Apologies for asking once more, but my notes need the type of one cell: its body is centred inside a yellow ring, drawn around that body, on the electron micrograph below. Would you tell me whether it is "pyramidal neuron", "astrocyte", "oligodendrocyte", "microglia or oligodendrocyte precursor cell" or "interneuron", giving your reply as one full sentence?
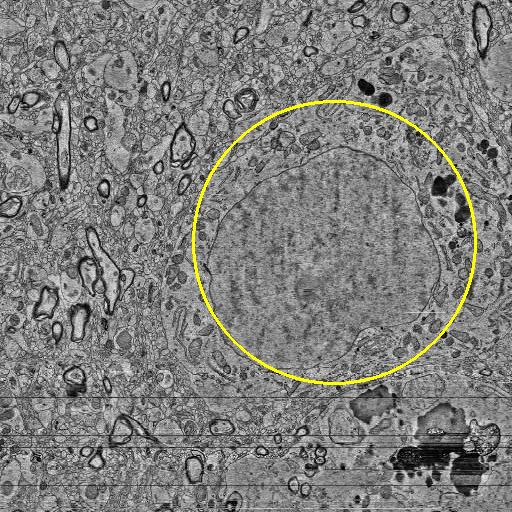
The cell that the yellow ring is centred on is an interneuron in this micrograph.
